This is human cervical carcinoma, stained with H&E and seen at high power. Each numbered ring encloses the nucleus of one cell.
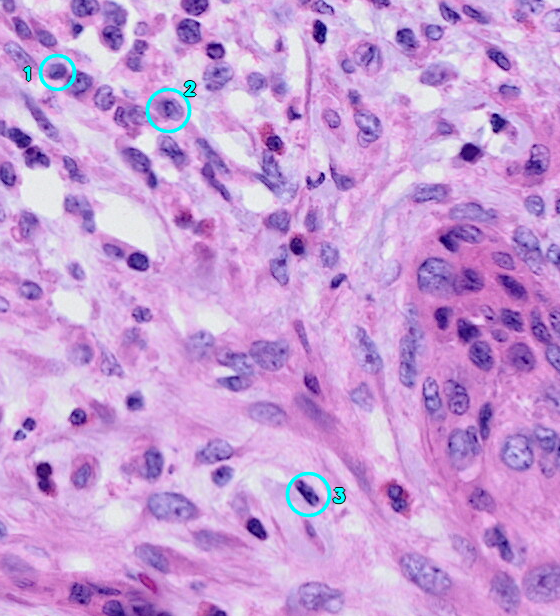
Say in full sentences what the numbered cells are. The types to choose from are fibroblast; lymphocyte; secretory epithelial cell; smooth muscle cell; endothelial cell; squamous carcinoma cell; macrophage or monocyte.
Cell 1 is a lymphocyte, cell 2 is a macrophage or monocyte and cell 3 is a lymphocyte.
